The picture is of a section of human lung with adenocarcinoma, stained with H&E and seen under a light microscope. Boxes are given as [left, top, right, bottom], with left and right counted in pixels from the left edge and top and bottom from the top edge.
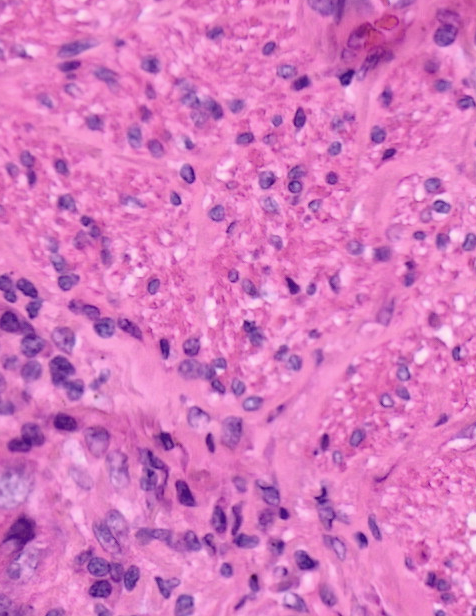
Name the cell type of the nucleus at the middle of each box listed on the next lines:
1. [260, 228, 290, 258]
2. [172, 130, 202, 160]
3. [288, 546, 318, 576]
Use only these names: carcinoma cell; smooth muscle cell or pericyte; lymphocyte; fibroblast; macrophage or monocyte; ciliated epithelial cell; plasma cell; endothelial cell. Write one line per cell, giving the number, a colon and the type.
1: smooth muscle cell or pericyte
2: smooth muscle cell or pericyte
3: lymphocyte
